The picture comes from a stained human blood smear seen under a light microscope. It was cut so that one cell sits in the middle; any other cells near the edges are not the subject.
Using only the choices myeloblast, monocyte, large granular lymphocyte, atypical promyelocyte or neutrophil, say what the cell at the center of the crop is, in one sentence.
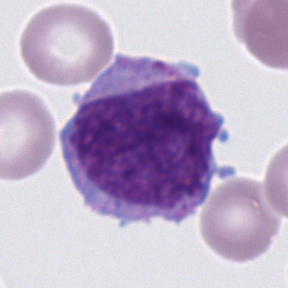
As for the central cell, it is an atypical promyelocyte.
